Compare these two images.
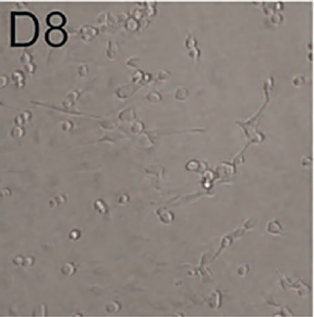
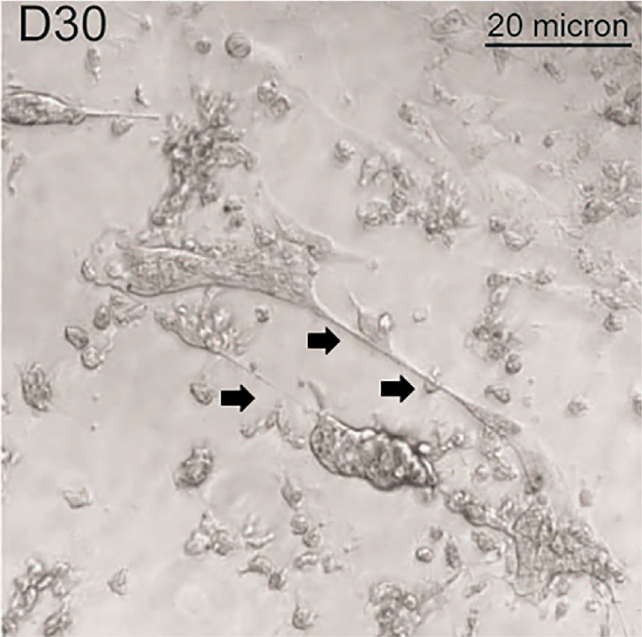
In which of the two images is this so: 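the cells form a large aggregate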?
The second image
